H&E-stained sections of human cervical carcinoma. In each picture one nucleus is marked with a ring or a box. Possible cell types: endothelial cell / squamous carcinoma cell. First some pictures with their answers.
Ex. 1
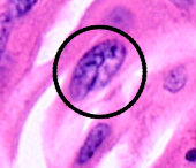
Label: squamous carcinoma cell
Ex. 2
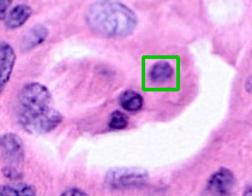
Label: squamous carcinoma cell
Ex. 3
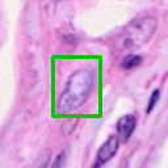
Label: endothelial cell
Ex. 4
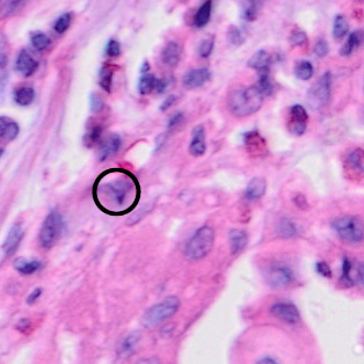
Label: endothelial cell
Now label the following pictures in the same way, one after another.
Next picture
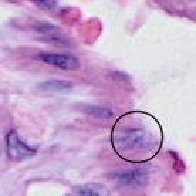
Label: endothelial cell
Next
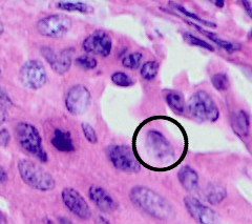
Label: squamous carcinoma cell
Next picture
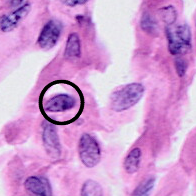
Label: squamous carcinoma cell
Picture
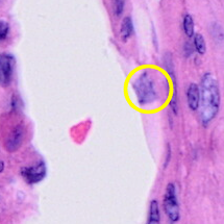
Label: squamous carcinoma cell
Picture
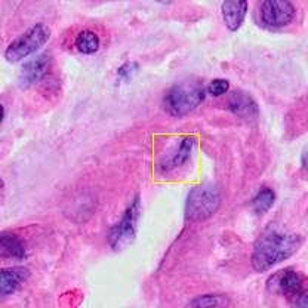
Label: endothelial cell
